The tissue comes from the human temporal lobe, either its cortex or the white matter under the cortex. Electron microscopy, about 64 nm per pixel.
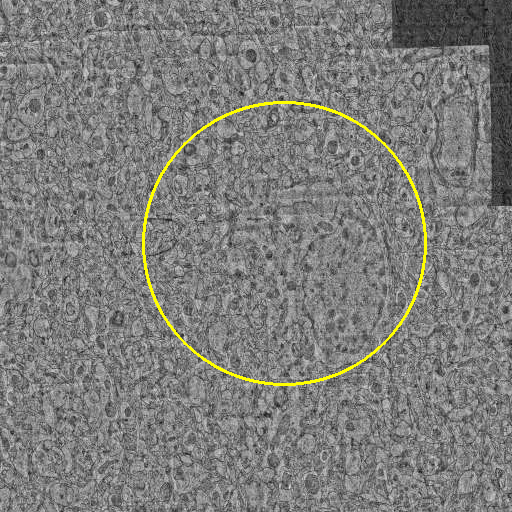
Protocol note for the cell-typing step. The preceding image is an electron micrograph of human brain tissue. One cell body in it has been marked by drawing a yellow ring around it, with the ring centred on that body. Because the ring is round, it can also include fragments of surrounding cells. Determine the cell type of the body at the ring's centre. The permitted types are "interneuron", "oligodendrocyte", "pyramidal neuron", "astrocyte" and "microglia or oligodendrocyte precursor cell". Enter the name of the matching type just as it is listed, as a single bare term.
astrocyte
